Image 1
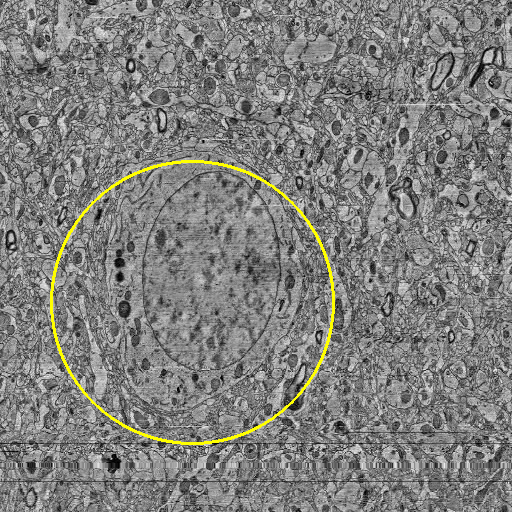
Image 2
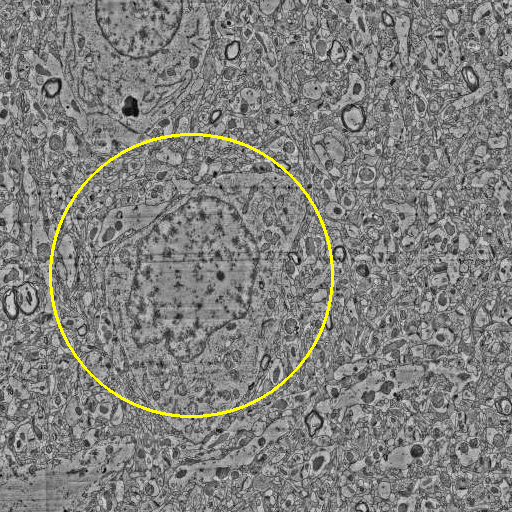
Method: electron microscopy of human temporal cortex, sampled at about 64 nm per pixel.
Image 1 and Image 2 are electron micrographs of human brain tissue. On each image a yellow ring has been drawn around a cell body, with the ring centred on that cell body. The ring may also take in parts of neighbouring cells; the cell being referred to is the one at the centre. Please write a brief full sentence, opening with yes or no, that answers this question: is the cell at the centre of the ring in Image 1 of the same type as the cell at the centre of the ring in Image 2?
No, the two cells are of two types.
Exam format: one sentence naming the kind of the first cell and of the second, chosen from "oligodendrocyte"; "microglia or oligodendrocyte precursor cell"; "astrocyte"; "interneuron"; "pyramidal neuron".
The first picture's cell is a pyramidal neuron, and the second picture's cell is an interneuron.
